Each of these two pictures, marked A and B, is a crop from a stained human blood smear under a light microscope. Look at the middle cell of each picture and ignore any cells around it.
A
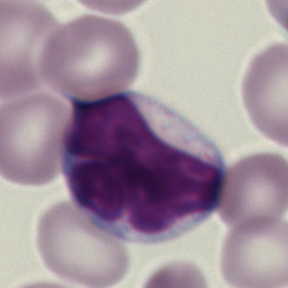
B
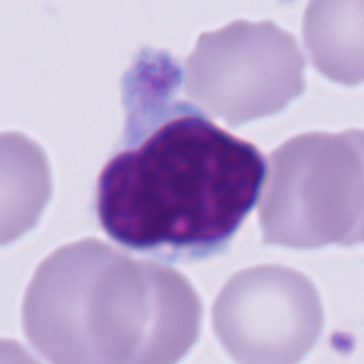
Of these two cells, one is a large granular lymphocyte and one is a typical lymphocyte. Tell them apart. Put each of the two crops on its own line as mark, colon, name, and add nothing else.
A: large granular lymphocyte
B: typical lymphocyte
